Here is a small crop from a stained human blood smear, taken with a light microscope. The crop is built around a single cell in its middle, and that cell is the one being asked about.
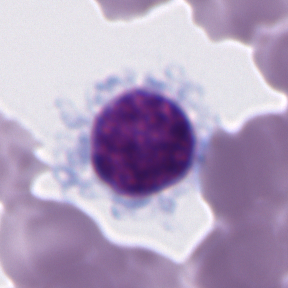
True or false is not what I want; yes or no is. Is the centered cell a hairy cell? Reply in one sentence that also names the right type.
Yes, the middle cell of the field is a hairy cell.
